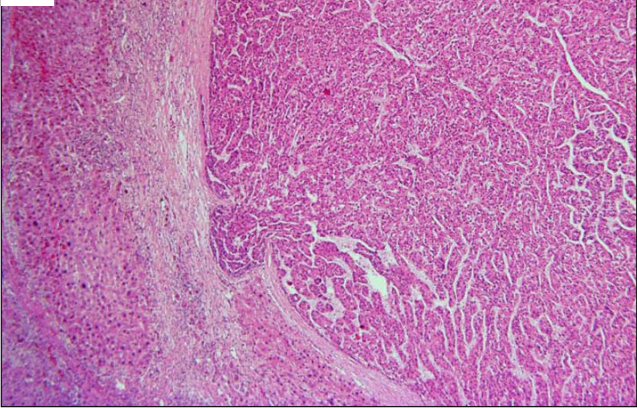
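This is liver with a tumor of liver cells. On the right lies a crowded nodule of pink cells with dark nuclei, packed more densely than ordinary liver. The cells are arranged in thick cords and plates, and narrow, branching pale slits run between them. On the left lies paler liver tissue with more loosely spaced cells. Between the two runs a band of pale, fibrous tissue with scattered small nuclei. This band forms a boundary that the tumor bulges against, and it sets the crowded nodule apart from the surrounding tissue.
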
